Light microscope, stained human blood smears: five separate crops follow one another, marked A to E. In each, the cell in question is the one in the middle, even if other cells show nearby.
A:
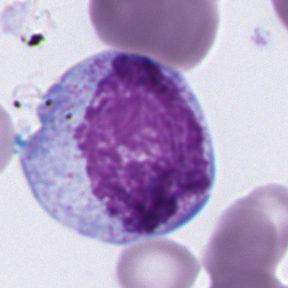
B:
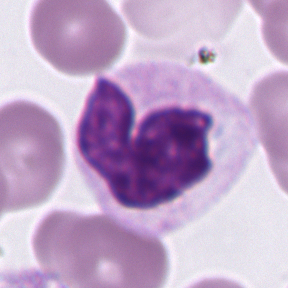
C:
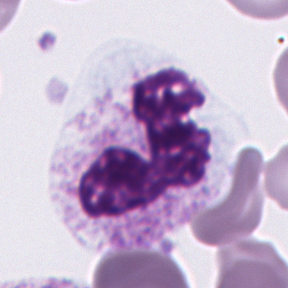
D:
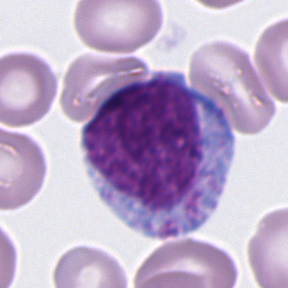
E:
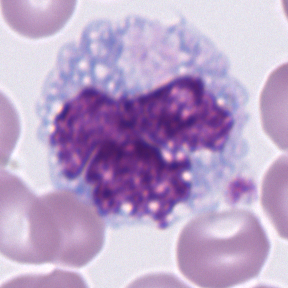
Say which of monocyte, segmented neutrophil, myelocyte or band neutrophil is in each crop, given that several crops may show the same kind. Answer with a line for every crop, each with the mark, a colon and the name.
A: myelocyte
B: band neutrophil
C: band neutrophil
D: myelocyte
E: monocyte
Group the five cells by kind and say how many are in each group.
myelocyte: 2
band neutrophil: 2
monocyte: 1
